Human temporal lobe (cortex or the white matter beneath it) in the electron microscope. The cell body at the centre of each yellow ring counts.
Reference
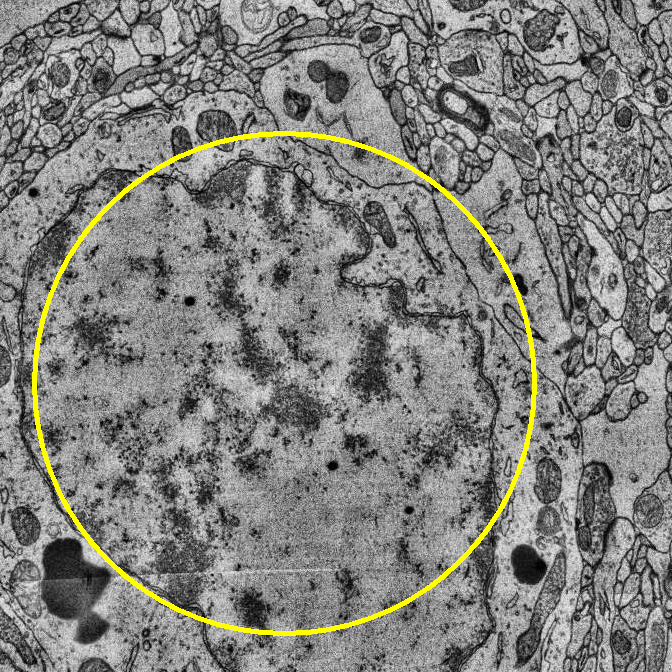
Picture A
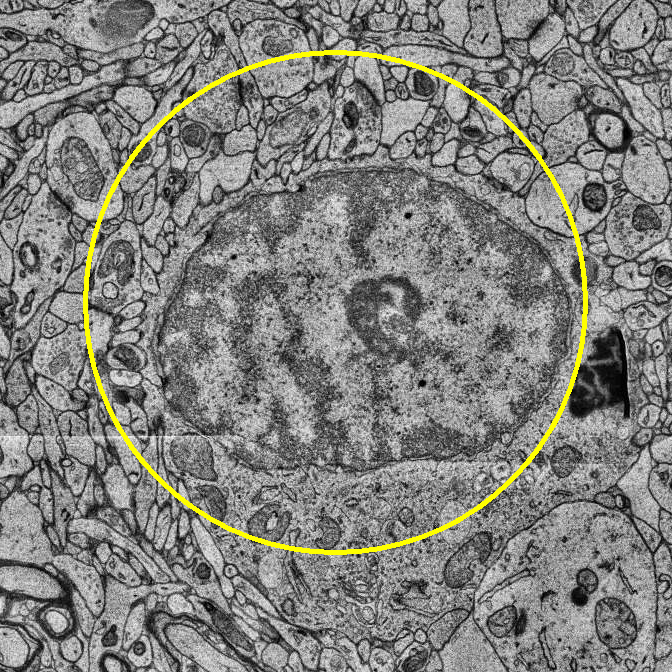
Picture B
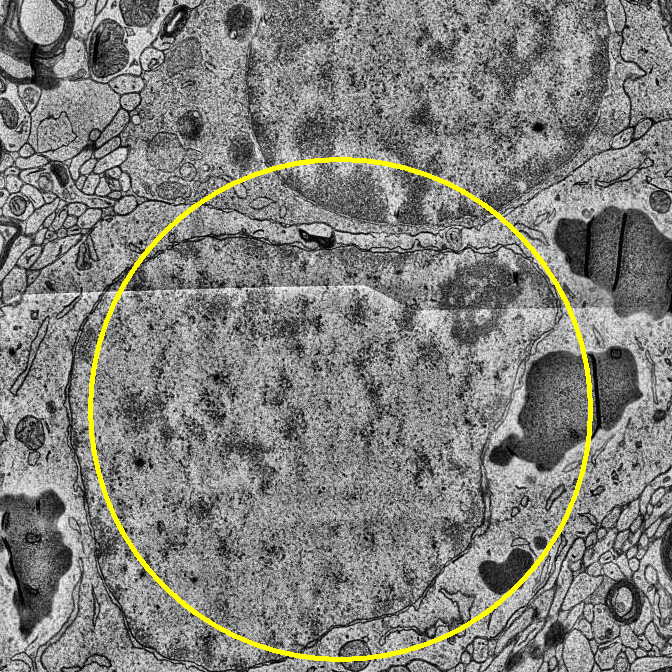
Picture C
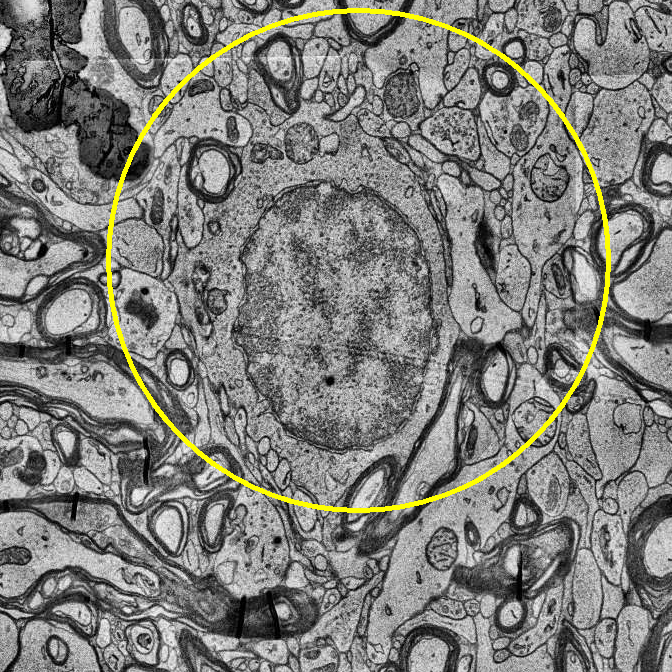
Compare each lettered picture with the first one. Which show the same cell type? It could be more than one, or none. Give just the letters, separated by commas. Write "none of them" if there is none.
B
